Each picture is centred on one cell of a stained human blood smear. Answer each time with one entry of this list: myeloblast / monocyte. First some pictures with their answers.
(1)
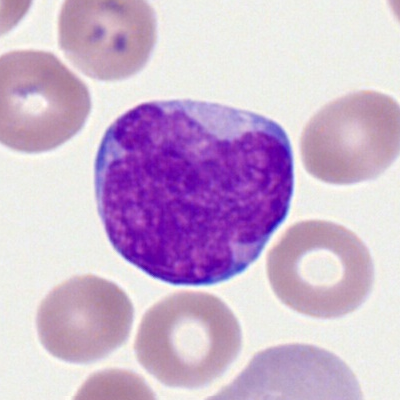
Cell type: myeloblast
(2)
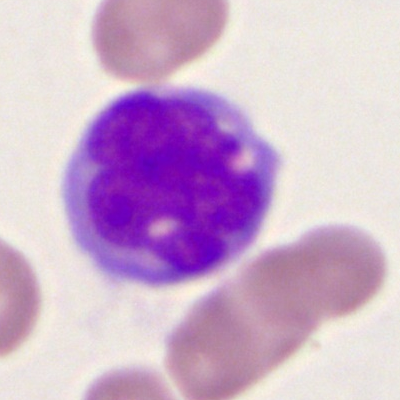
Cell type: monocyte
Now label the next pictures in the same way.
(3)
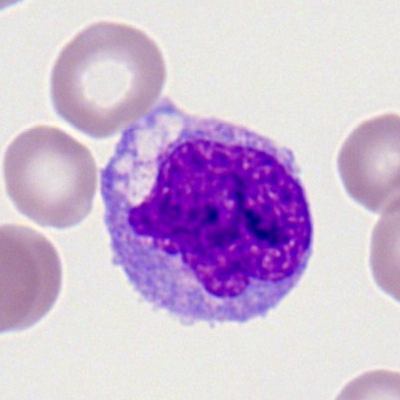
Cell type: monocyte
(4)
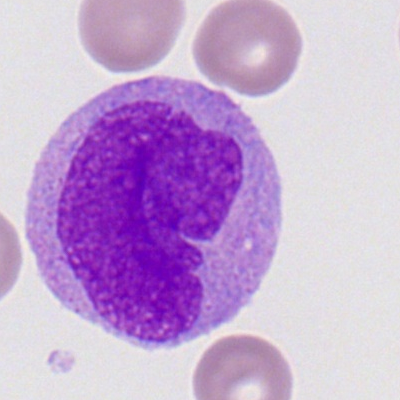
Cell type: myeloblast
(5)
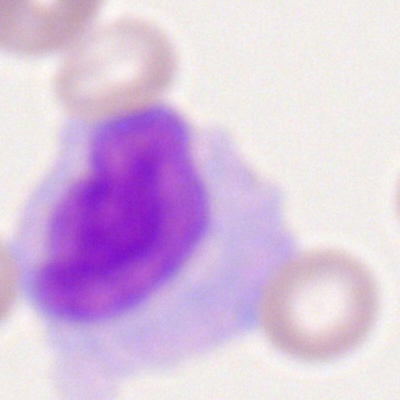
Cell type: monocyte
